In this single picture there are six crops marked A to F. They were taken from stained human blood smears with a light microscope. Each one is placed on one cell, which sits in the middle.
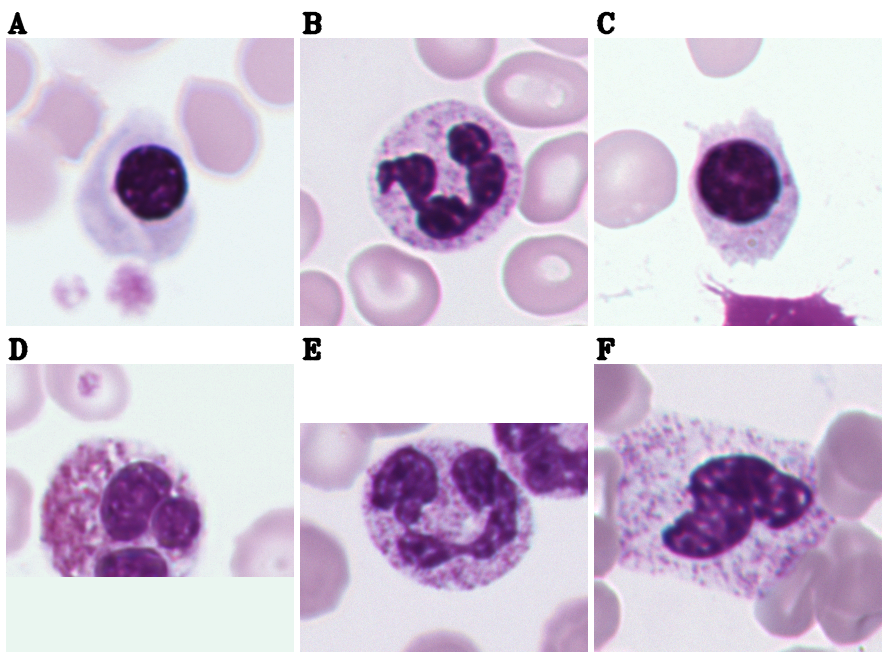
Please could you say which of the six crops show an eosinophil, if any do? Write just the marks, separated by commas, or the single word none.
D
